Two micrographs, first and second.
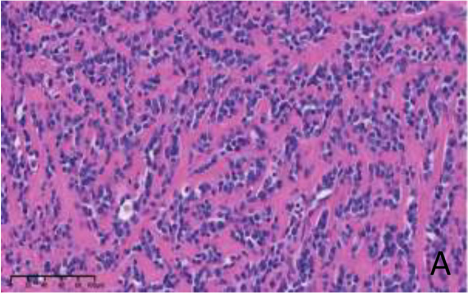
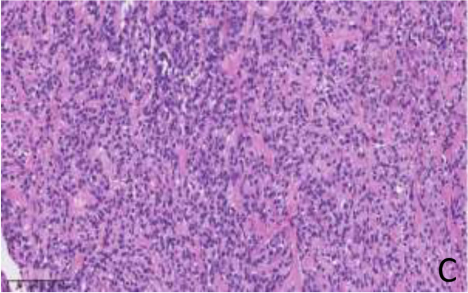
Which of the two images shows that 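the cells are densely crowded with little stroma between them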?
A: the second image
